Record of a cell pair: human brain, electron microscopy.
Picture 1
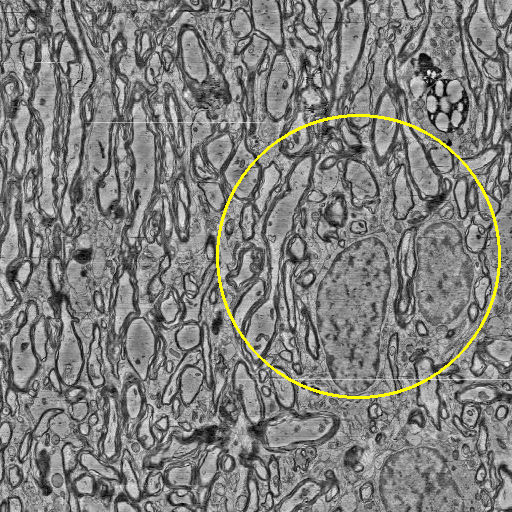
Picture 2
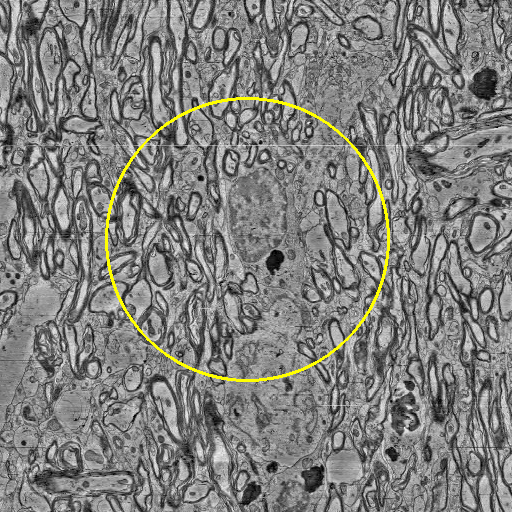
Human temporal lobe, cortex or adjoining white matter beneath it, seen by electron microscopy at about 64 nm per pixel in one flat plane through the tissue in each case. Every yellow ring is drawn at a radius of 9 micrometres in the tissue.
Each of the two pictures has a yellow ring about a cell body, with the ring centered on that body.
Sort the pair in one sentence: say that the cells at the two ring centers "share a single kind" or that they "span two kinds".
The cells centered in the rings of Pictures 1 and 2 span two kinds.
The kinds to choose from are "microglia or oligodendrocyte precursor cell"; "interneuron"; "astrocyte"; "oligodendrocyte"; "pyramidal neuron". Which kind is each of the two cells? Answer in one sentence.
Of the two, the first cell is a microglial cell or oligodendrocyte precursor cell and the second cell is an oligodendrocyte.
